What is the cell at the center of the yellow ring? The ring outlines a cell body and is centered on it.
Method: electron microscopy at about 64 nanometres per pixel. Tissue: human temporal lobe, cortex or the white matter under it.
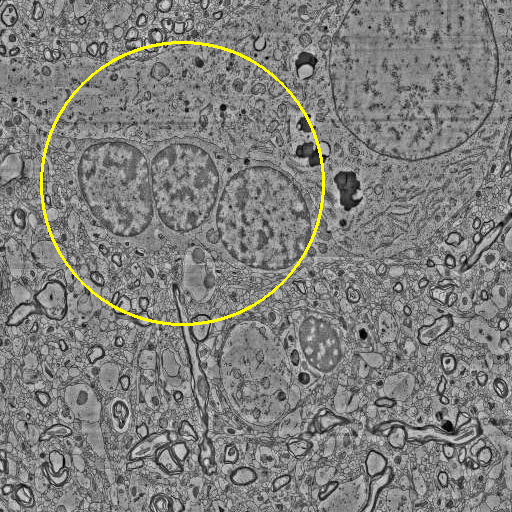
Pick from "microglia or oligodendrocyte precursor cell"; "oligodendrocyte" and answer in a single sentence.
The yellow ring is centered on an oligodendrocyte.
